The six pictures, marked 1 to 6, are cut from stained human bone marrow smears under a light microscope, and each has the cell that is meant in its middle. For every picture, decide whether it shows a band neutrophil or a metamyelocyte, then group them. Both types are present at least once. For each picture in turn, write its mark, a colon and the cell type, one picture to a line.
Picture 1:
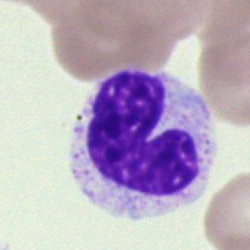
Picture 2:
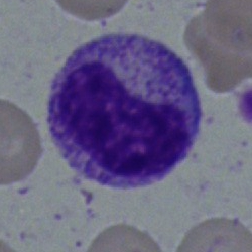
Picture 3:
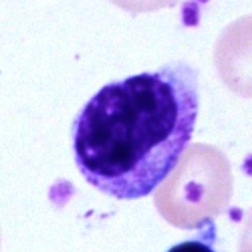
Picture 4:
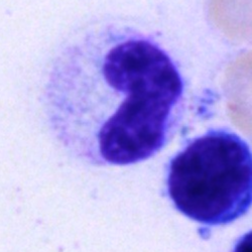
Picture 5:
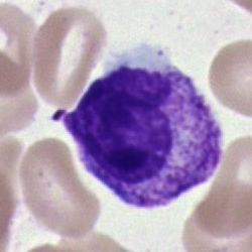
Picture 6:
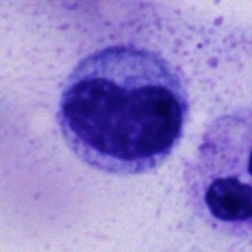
1: band neutrophil
2: metamyelocyte
3: metamyelocyte
4: band neutrophil
5: metamyelocyte
6: metamyelocyte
